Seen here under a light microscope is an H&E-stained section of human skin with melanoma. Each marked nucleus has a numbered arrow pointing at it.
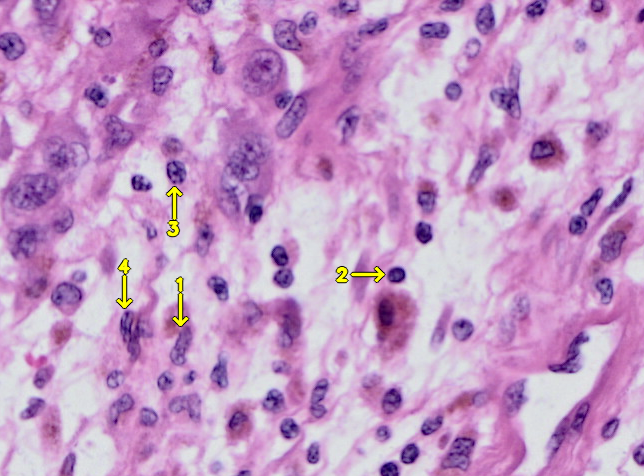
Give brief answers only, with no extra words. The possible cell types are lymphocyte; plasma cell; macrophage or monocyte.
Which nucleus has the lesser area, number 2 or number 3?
2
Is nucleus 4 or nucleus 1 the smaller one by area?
4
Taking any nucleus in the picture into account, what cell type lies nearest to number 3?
macrophage or monocyte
